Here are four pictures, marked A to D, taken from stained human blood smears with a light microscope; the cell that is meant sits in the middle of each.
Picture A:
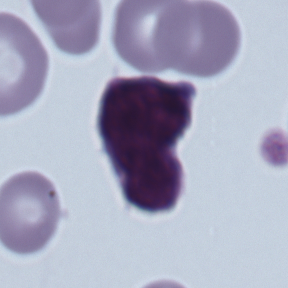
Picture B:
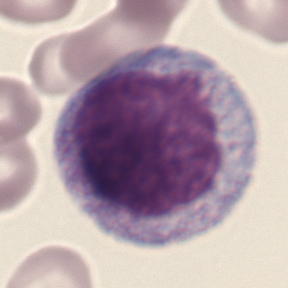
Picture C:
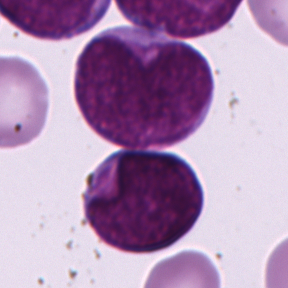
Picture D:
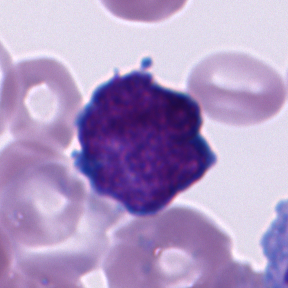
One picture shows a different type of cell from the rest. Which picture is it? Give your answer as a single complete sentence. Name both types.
All pictures except B show myeloblasts; picture B shows a promyelocyte.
